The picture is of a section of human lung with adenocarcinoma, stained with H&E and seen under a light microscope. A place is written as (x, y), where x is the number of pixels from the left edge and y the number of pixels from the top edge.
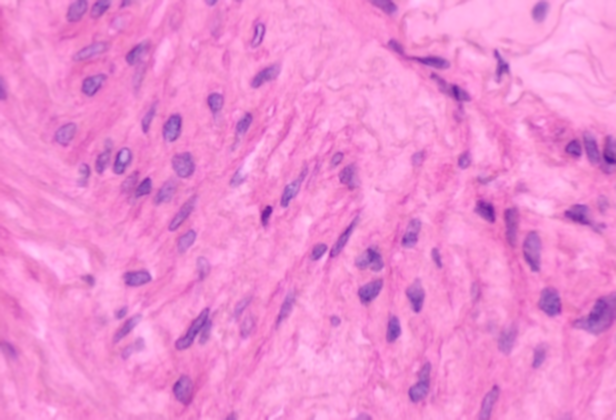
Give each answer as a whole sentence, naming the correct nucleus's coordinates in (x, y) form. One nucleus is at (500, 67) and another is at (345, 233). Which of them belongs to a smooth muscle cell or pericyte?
The nucleus whose cell is a smooth muscle cell or pericyte is the one at (345, 233).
